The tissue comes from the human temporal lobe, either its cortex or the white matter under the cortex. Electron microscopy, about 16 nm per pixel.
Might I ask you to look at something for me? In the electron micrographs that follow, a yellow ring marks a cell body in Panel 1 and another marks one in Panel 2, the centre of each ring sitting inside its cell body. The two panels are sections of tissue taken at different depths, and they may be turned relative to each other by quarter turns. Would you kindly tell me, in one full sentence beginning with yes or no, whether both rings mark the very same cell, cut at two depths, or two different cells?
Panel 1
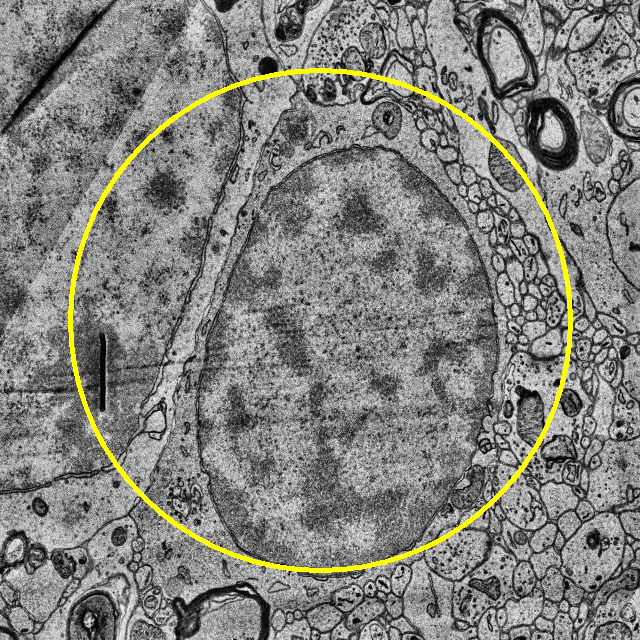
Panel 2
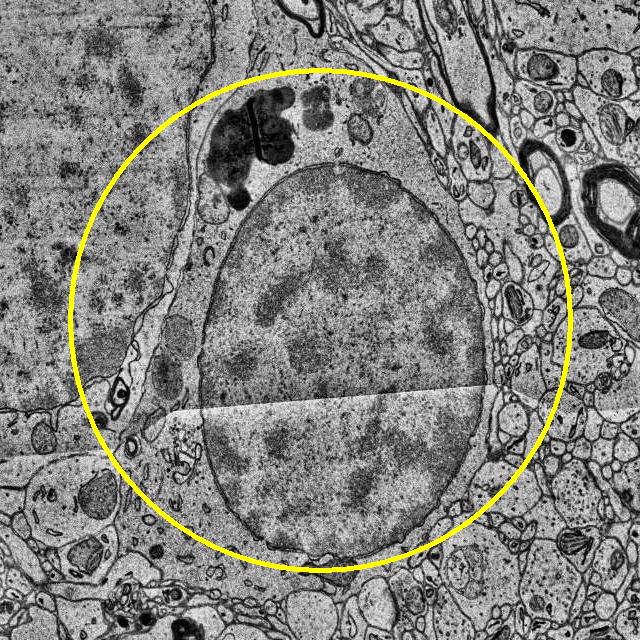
Yes, one and the same cell lies under both rings.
